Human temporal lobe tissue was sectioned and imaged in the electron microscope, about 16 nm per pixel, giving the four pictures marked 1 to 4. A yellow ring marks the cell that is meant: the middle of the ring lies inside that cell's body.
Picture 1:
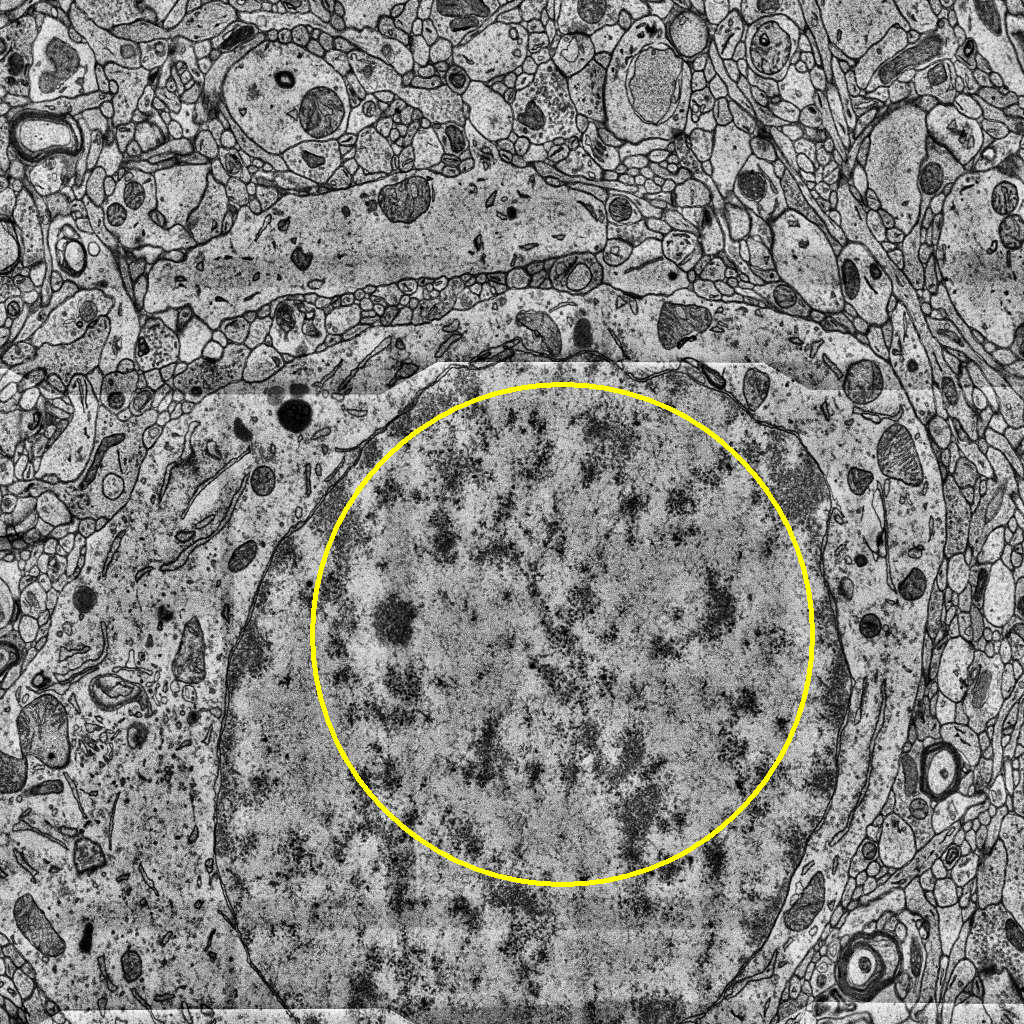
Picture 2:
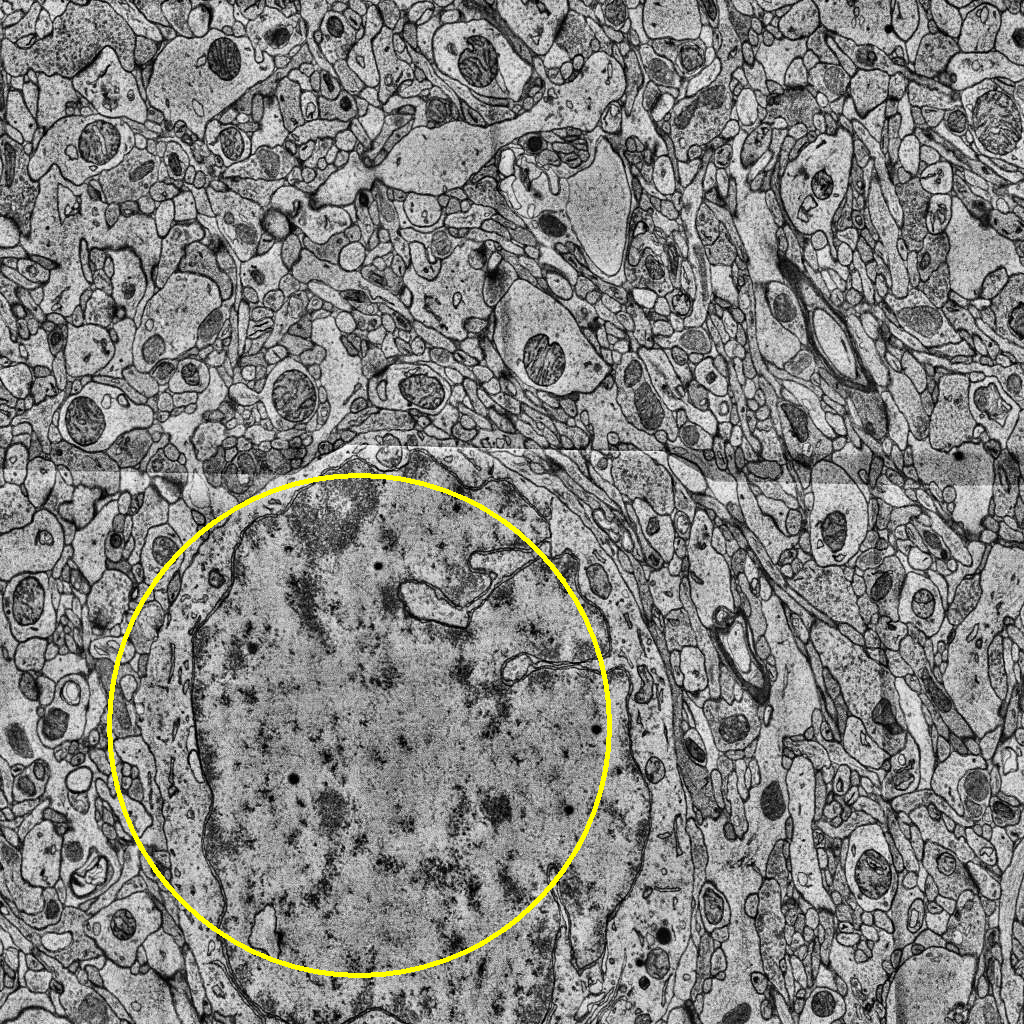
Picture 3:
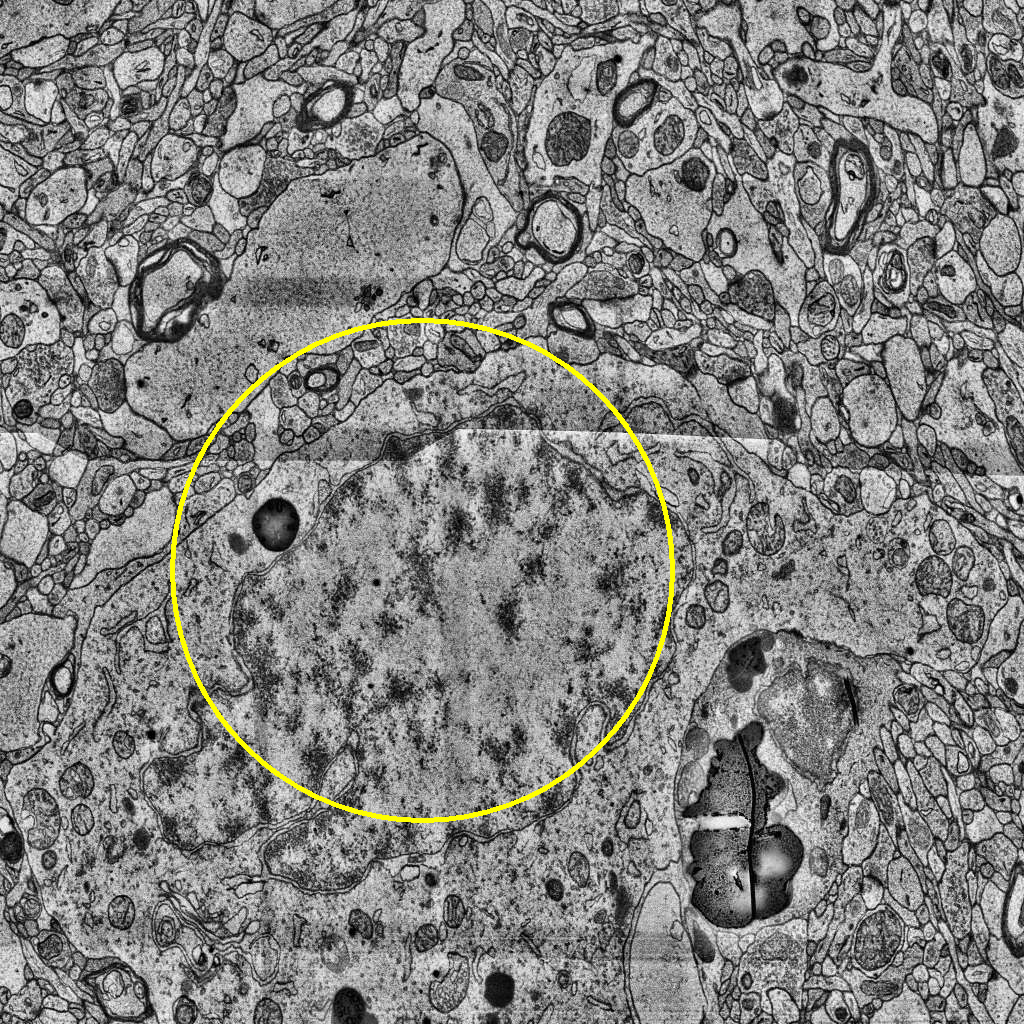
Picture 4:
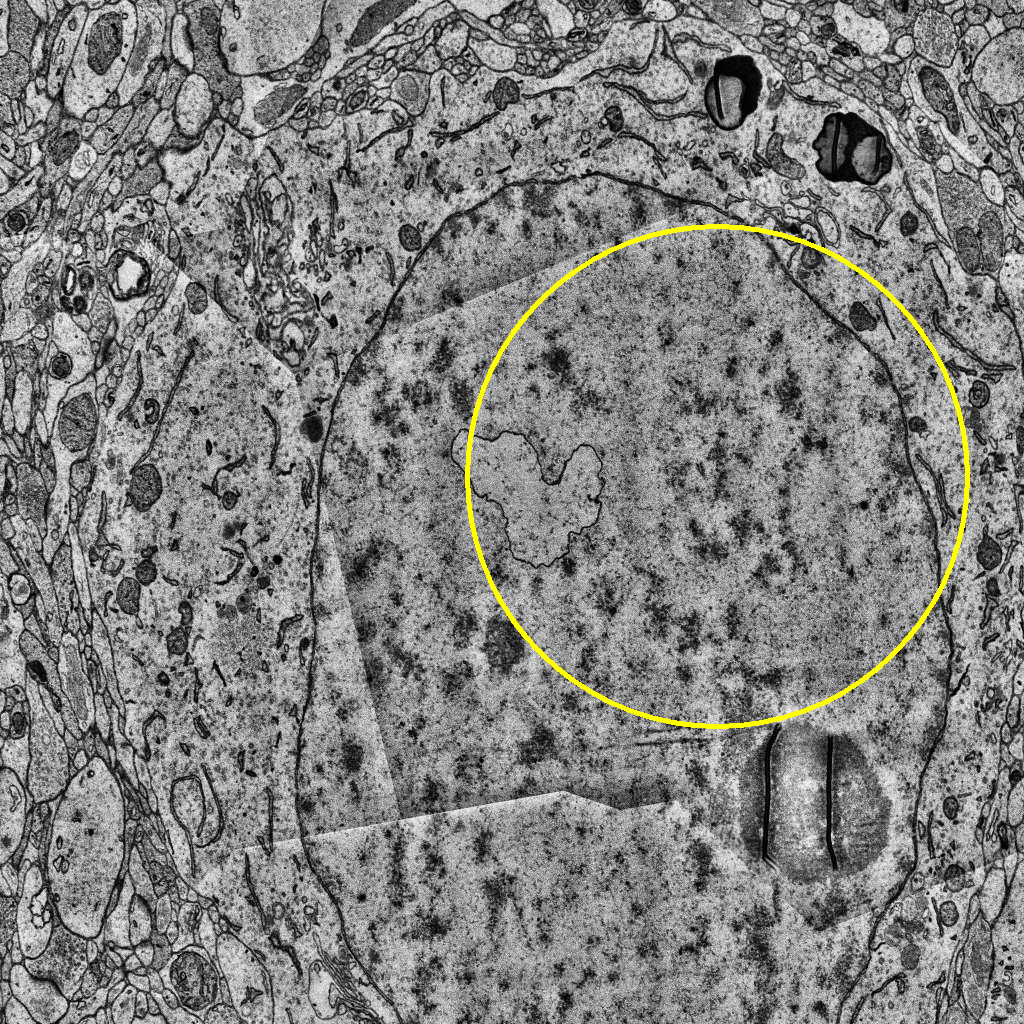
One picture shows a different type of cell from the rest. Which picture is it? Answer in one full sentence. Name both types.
Picture 4 is the odd one out: it shows a pyramidal neuron, while the others show interneurons.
